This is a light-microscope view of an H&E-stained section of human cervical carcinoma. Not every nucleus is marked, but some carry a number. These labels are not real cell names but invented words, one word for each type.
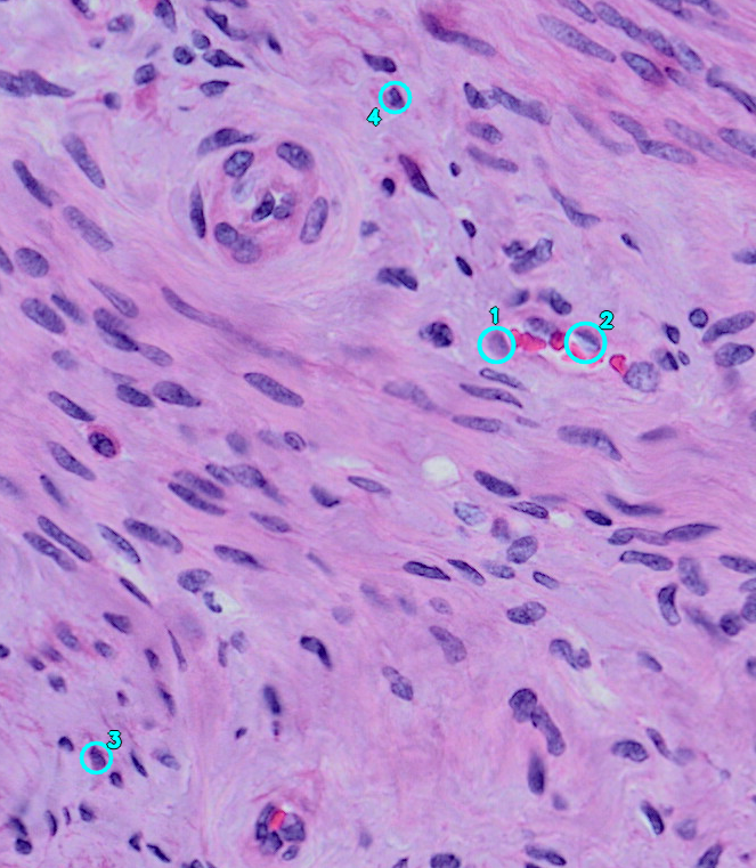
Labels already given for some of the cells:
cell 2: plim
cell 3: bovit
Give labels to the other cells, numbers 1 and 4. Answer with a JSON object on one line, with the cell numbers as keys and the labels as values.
{"1": "plim", "4": "bovit"}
